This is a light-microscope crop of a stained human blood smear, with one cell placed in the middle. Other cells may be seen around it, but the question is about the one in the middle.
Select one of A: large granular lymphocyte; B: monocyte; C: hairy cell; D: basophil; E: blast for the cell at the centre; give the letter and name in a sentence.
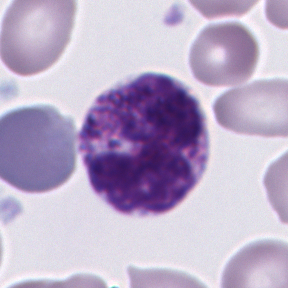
Correctly, option D names the cell in the middle a basophil.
